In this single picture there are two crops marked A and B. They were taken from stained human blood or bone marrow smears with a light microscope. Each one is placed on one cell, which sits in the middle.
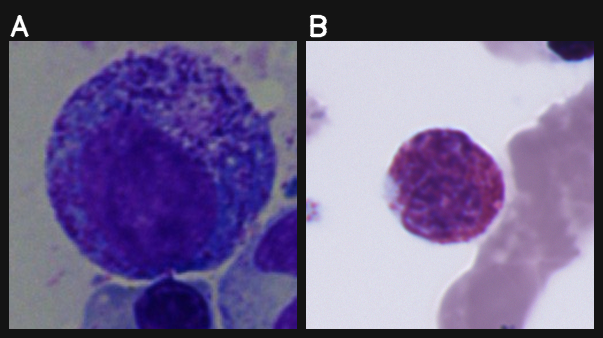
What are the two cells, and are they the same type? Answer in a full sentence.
No, crop A has a promyelocyte at its center, and crop B has an eosinophil.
